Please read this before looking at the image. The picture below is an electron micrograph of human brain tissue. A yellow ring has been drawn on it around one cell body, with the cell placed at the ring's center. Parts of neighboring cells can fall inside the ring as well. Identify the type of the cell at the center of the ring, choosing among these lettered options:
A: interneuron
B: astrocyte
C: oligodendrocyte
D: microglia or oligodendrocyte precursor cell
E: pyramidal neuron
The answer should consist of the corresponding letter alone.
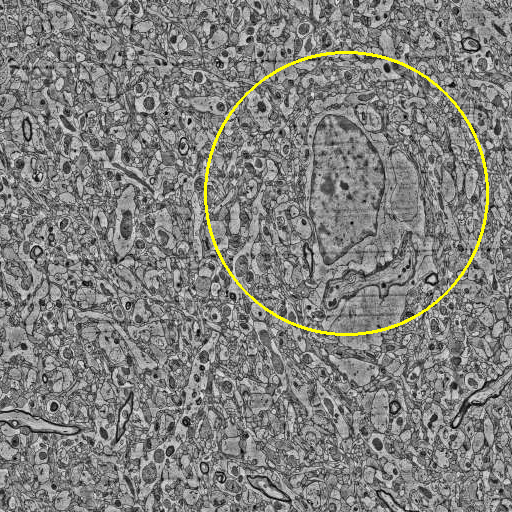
D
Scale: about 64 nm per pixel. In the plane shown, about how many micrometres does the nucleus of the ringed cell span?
The nucleus measures about 8 by 5 micrometres in this plane.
